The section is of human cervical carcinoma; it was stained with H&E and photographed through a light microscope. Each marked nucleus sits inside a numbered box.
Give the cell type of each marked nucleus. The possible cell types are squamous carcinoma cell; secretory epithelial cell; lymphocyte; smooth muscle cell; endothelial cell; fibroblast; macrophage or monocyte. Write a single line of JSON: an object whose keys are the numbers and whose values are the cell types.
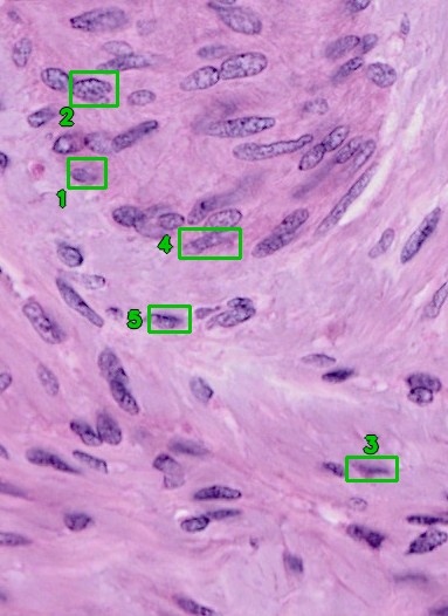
{"1": "smooth muscle cell", "2": "smooth muscle cell", "3": "fibroblast", "4": "smooth muscle cell", "5": "fibroblast"}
